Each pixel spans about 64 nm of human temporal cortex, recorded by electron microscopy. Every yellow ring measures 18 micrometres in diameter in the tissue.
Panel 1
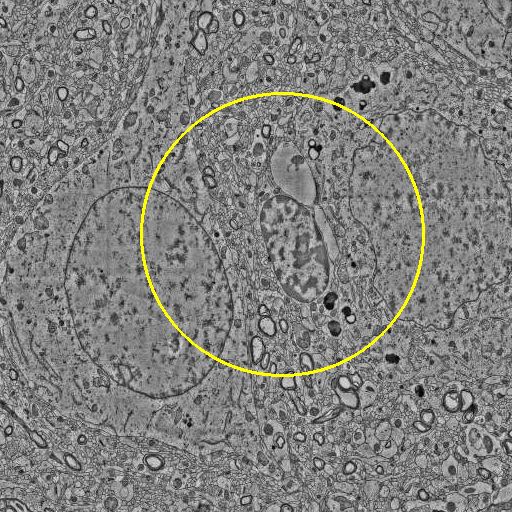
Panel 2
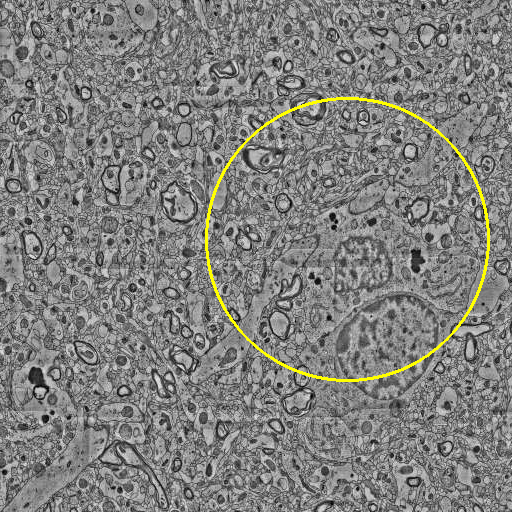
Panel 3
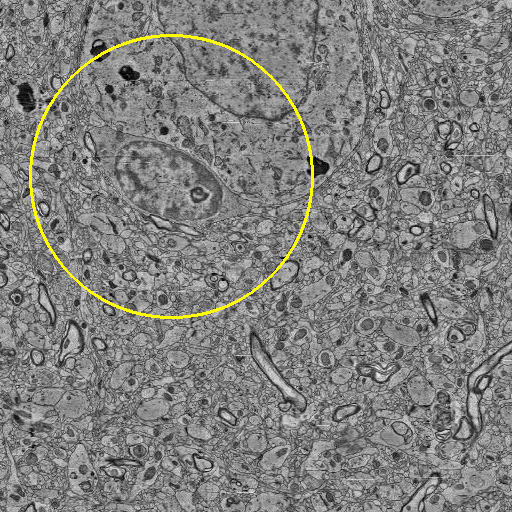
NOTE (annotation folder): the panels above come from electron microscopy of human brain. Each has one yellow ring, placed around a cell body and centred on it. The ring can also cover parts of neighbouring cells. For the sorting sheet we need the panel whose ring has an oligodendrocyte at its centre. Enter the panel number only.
3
